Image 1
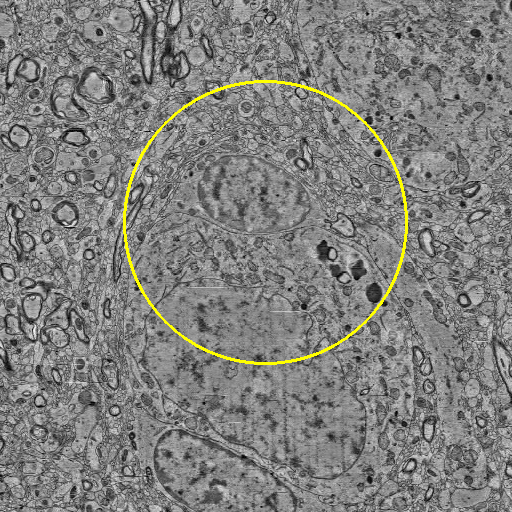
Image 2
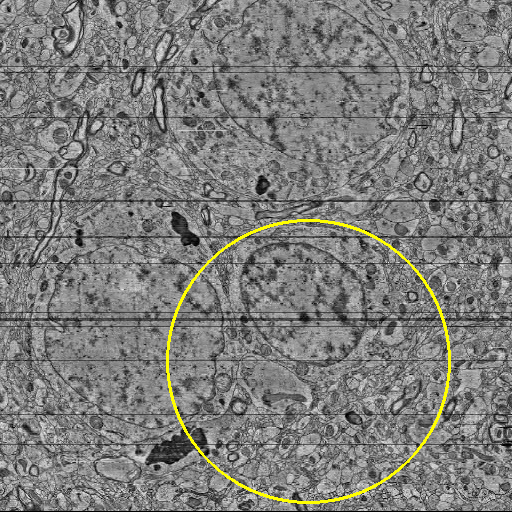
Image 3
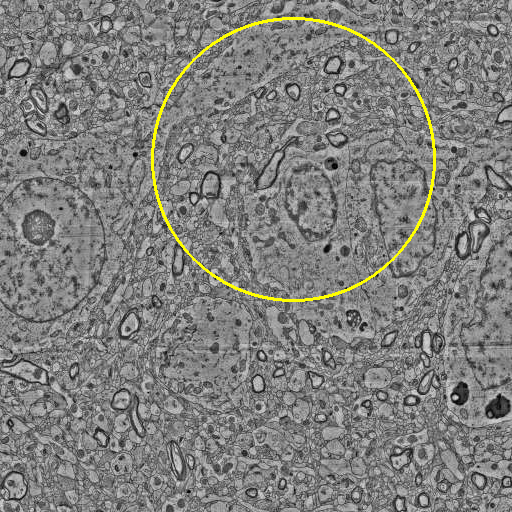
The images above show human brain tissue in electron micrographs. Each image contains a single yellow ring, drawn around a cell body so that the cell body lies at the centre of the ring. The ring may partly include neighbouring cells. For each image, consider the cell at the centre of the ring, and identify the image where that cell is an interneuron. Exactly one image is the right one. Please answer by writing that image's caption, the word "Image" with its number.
Image 2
